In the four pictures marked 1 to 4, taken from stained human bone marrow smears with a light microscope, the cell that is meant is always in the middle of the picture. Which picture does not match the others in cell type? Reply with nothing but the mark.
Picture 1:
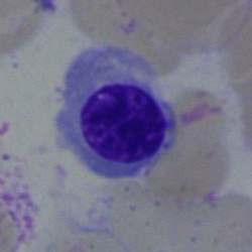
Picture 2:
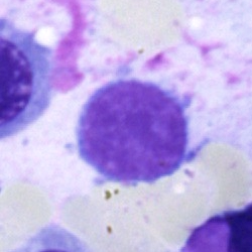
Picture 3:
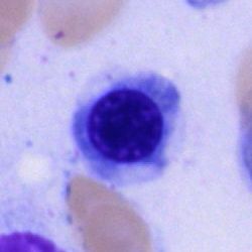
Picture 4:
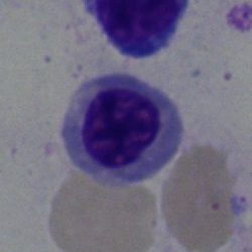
2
